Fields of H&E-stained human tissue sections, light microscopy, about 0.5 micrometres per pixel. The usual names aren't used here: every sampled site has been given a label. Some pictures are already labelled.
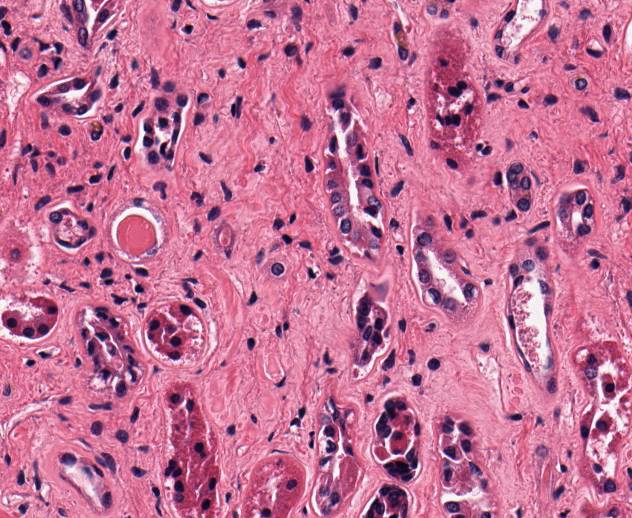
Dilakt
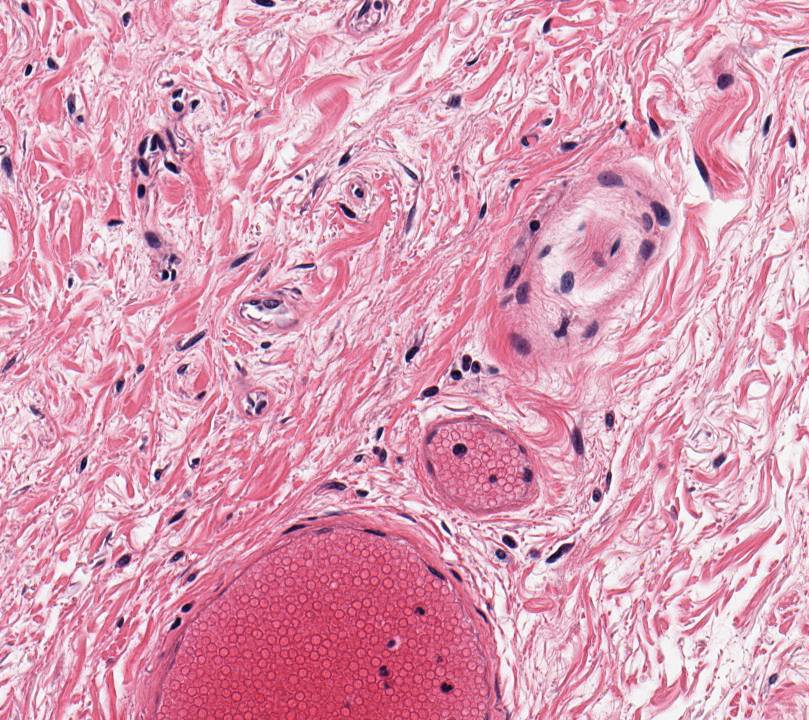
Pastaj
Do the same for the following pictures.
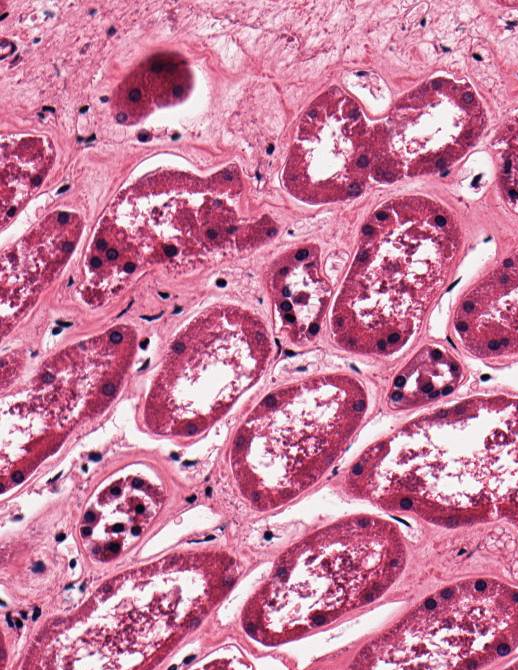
Dilakt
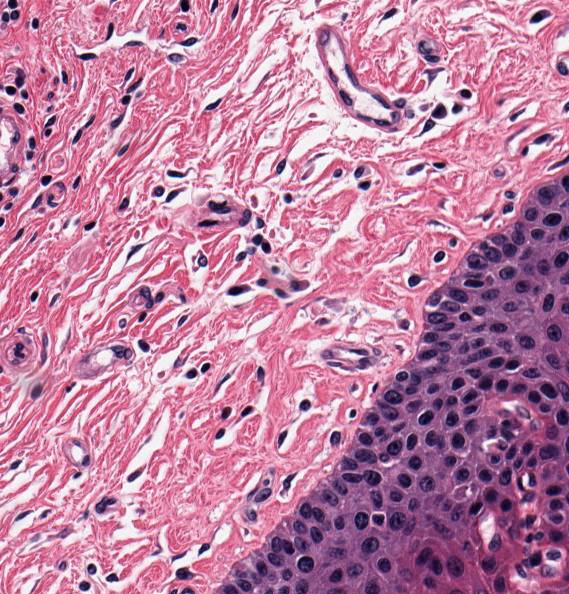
Pastaj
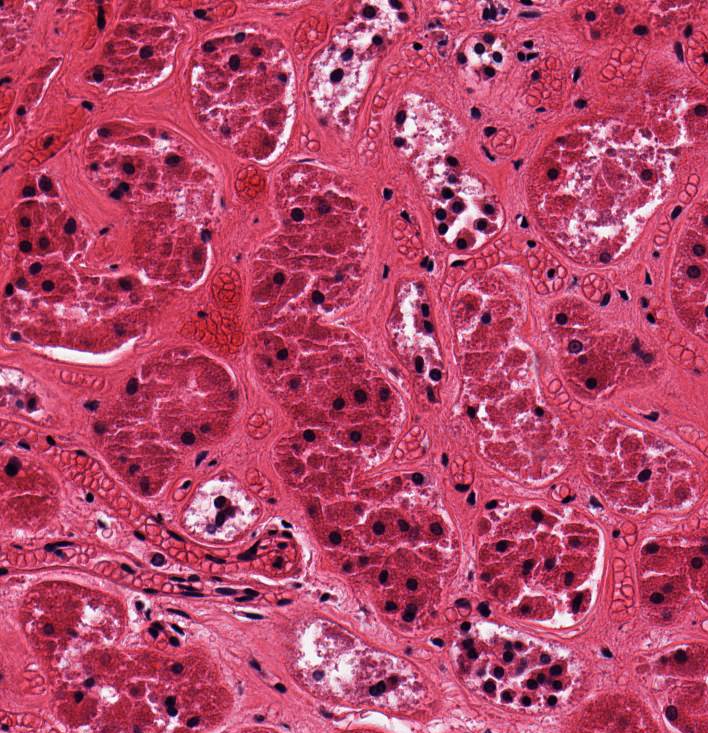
Dilakt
